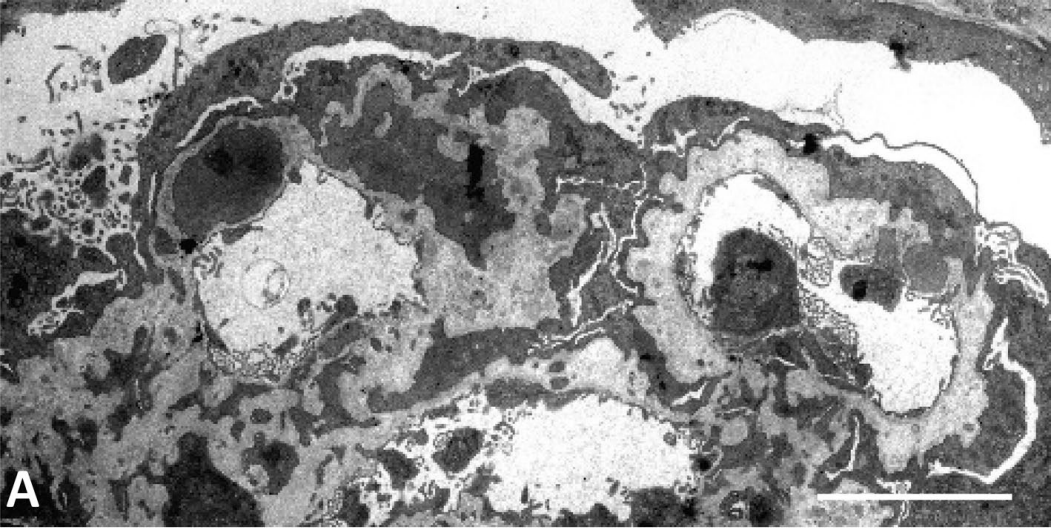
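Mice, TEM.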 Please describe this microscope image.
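This is a glomerular capillary wall at high magnification, where the basement membrane beneath the covering cells is enormously widened into a broad, irregular, patchy grey band with dark cell fragments scattered through it. The overlying epithelial cells form flattened, continuous sheets with no regular row of separate foot processes, and capillary lumens with their cells lie beneath this thickened layer.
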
